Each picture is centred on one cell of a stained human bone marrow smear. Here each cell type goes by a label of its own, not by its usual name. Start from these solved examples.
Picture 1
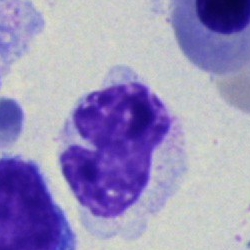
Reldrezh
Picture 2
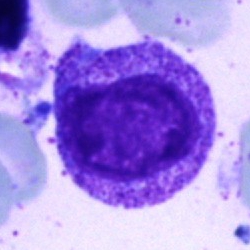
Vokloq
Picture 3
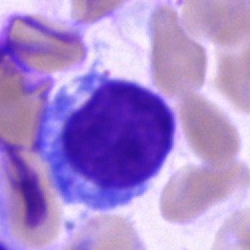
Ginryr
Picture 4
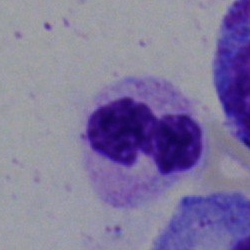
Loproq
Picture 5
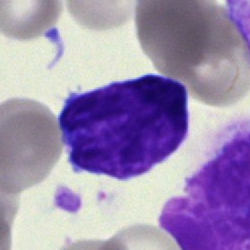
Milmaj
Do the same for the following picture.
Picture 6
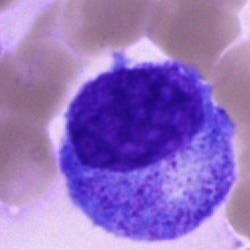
Vokloq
